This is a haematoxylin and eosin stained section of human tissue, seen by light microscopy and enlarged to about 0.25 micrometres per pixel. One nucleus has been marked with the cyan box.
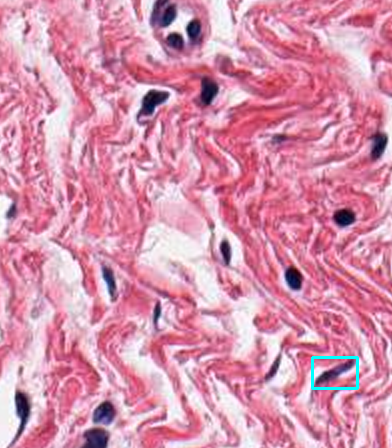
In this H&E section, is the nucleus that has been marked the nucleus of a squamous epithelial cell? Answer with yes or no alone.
no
